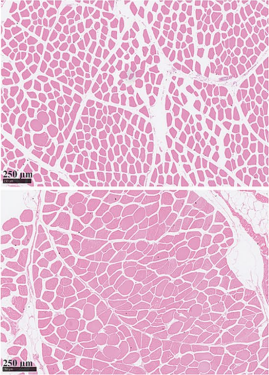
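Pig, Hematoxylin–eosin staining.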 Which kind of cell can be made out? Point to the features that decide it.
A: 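Muscle fibers. Closely packed polygonal pink profiles cut in cross-section. Profiles grouped into bundles separated by thin pale septa.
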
